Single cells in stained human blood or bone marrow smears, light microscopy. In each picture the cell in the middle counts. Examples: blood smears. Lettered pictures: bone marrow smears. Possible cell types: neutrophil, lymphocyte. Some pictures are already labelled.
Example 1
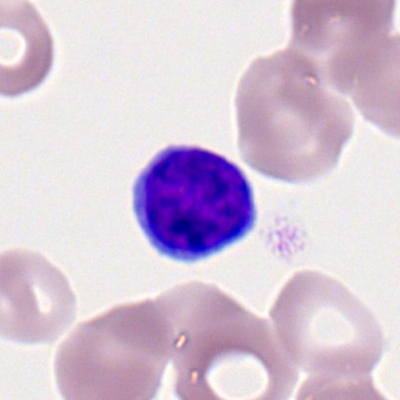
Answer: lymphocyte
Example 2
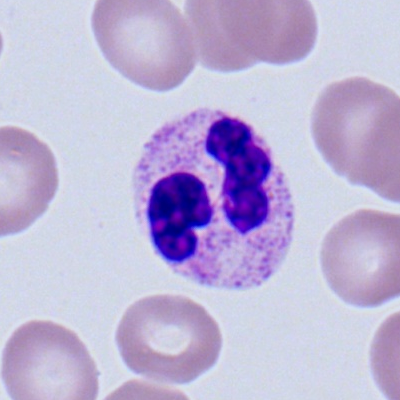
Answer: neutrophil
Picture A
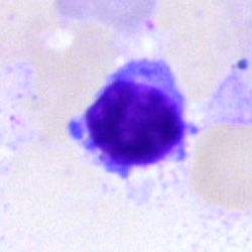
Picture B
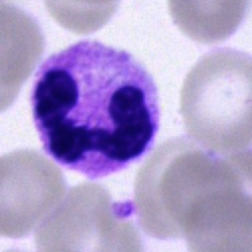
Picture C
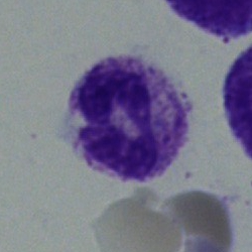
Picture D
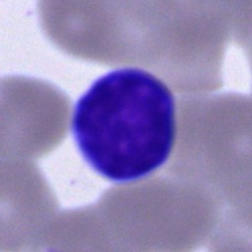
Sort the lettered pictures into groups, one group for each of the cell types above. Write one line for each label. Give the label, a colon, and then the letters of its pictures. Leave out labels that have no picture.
neutrophil: B, C
lymphocyte: A, D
